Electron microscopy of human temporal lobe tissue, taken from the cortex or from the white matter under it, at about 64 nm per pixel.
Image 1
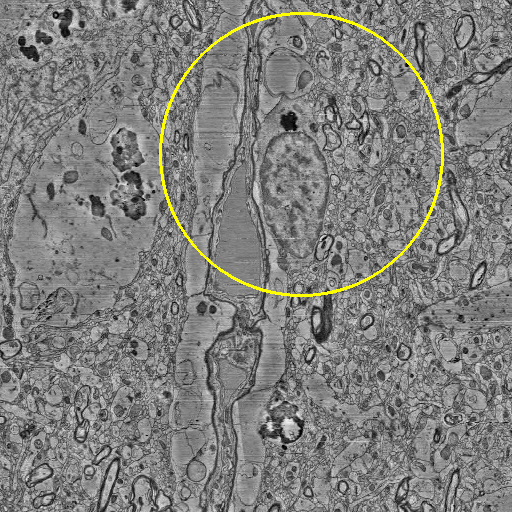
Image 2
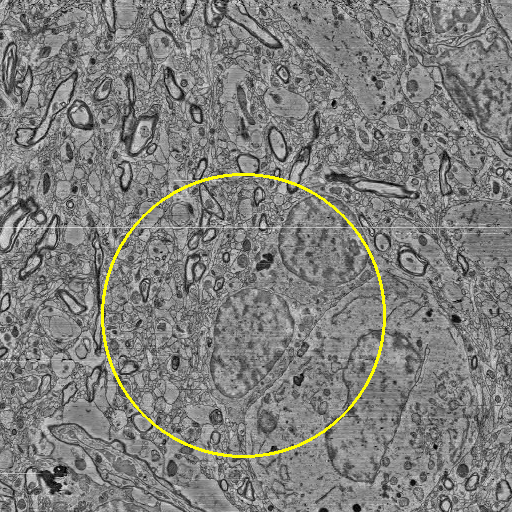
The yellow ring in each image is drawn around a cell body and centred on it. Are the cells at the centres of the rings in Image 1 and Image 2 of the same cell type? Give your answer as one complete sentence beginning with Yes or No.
Yes, both cells are of the same type.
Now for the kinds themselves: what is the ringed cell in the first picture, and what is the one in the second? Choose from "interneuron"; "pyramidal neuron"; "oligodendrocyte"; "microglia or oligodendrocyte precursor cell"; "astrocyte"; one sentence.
In each picture the ringed cell is an oligodendrocyte.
